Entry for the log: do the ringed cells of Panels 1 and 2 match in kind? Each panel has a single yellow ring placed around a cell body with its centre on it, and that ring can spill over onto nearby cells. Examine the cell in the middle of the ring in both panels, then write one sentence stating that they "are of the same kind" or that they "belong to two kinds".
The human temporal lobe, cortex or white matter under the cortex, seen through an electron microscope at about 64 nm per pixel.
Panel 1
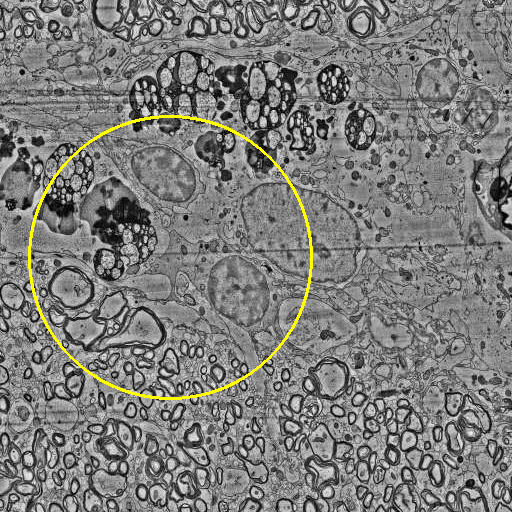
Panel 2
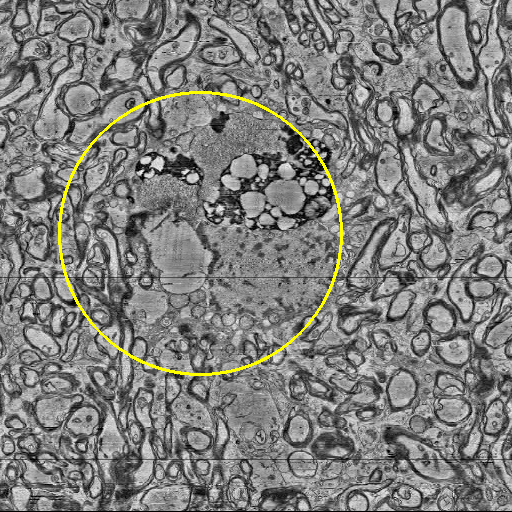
The centre cell of Panel 1's ring and that of Panel 2's ring belong to two kinds.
